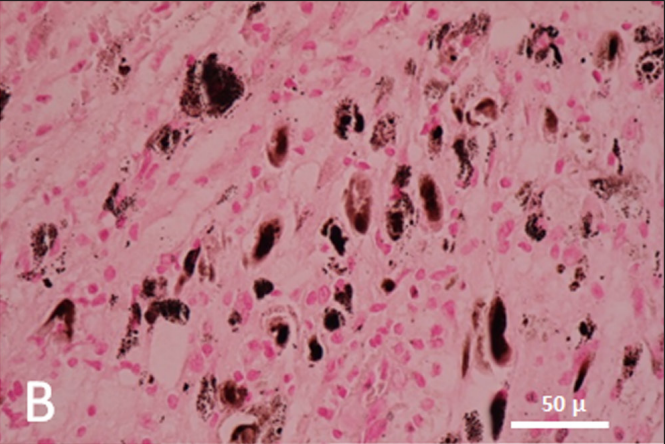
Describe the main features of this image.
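Tumour tissue in which many large oval and spindle-shaped tumour cells hold black granular pigment in their cytoplasm. In some cells the black deposit is dense and solid, filling the whole cell body; in others it is coarse and clumped, or paler brown. The pigmented cells lie scattered and loosely aligned in a pale pink background. Many small pink-stained nuclei of unpigmented cells lie between them. Some large cells show a clear rim around a dark centre.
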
